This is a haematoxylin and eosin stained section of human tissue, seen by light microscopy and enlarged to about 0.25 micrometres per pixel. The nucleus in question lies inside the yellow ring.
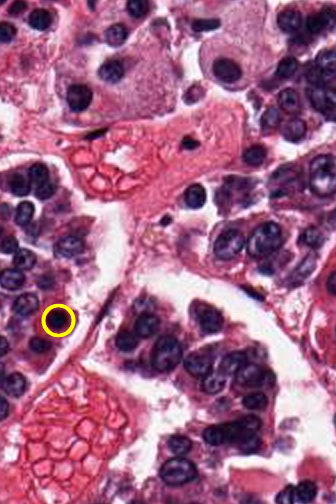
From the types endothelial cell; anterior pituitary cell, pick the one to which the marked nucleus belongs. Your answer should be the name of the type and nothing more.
anterior pituitary cell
